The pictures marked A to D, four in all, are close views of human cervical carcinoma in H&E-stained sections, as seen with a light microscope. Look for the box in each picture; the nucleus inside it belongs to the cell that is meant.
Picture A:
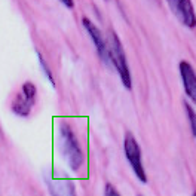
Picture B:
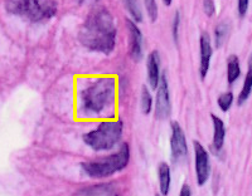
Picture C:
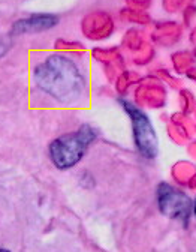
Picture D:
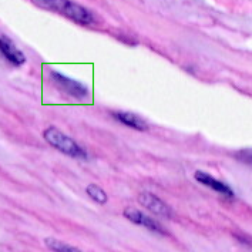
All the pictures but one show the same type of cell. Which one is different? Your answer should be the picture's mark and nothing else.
B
